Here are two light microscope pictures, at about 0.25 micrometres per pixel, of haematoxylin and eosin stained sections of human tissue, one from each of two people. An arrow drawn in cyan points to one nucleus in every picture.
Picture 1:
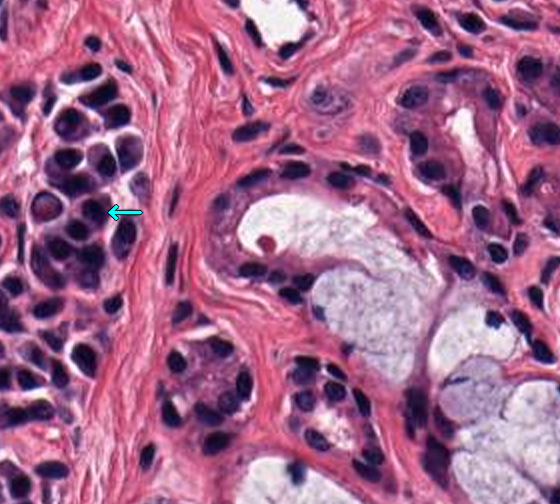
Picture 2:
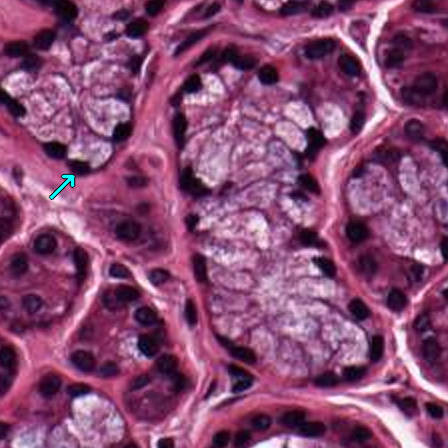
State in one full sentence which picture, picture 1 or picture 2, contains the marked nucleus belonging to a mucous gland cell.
Belonging to a mucous gland cell is the marked nucleus of picture 2.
